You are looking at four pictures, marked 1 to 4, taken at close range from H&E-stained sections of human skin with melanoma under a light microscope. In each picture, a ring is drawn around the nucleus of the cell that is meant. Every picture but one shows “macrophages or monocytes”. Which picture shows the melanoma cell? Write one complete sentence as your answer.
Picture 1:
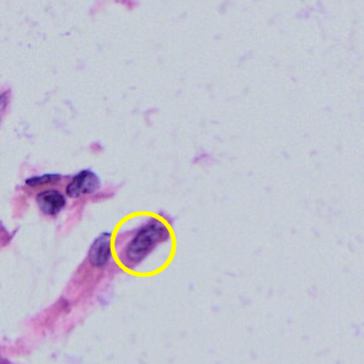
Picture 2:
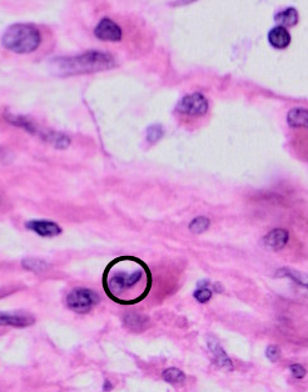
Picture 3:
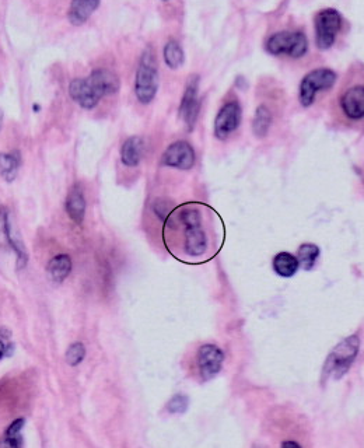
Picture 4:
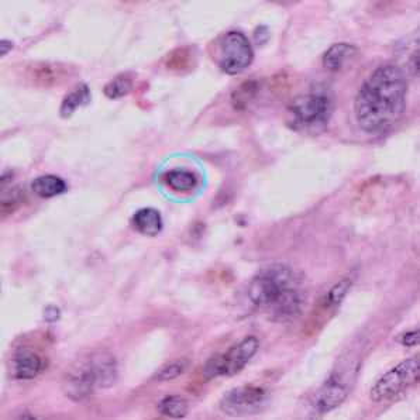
Picture 1 is the one that shows the melanoma cell.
